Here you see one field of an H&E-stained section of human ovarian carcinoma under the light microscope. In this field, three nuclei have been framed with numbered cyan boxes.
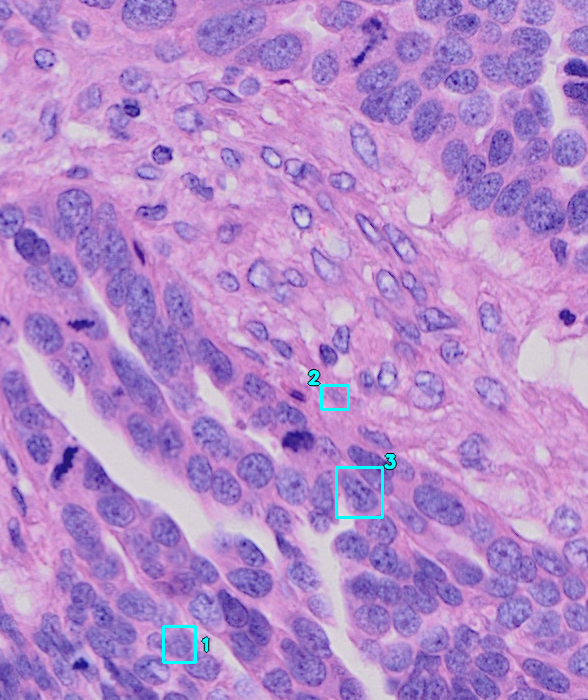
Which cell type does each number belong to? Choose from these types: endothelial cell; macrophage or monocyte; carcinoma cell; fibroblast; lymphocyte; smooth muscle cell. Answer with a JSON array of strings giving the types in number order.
["carcinoma cell", "fibroblast", "carcinoma cell"]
